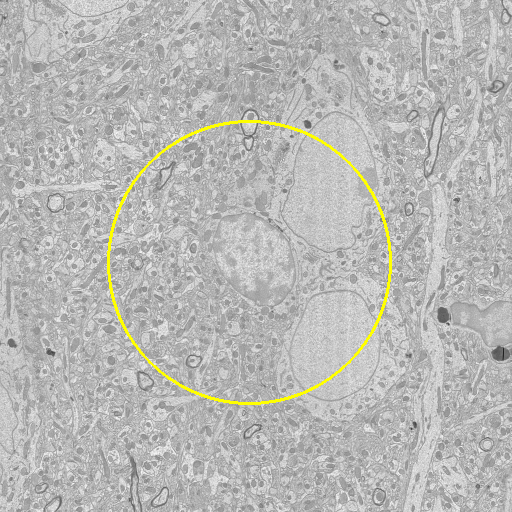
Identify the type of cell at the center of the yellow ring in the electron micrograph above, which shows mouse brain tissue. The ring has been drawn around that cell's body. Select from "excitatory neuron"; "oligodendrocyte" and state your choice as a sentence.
The yellow ring is centered on the body of an oligodendrocyte.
